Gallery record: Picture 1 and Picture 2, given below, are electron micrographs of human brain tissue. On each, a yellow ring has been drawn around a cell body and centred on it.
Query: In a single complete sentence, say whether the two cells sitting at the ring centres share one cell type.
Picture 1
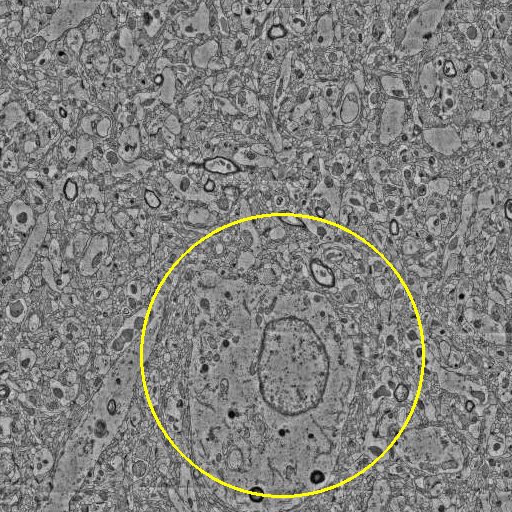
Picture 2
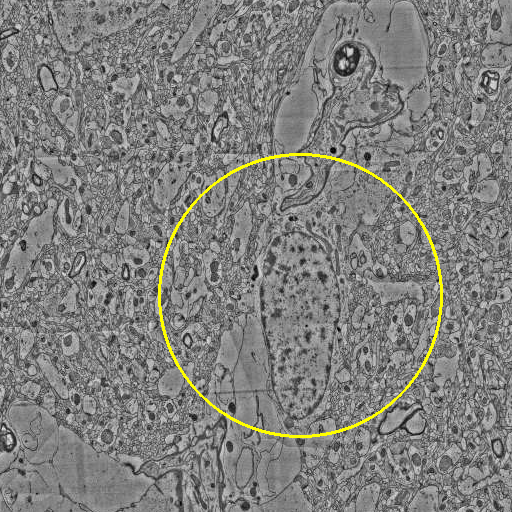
No, in the two pictures the cells at the rings' centres are of two separate types.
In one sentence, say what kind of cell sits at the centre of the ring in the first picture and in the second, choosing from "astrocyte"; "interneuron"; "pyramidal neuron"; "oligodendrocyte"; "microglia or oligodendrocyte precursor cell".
The first picture's ringed cell is a pyramidal neuron, while the second picture's is a microglial cell or oligodendrocyte precursor cell.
